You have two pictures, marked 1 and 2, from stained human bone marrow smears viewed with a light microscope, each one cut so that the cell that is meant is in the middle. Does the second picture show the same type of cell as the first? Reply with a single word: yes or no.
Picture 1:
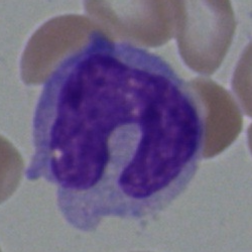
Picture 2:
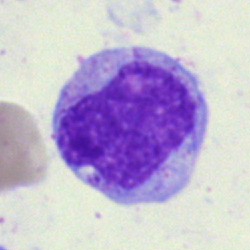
yes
